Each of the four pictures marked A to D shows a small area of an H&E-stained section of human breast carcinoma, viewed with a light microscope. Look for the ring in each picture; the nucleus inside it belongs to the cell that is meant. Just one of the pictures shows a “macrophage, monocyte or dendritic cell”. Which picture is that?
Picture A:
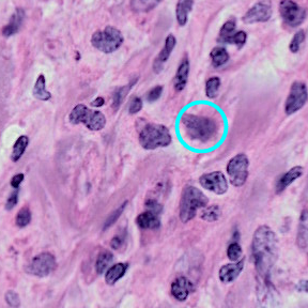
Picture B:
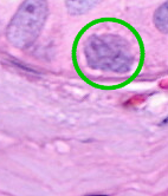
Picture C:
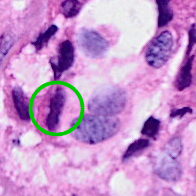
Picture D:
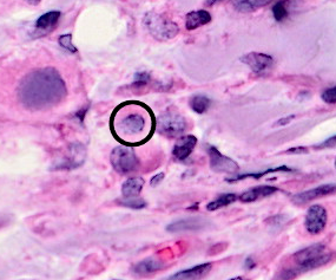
A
